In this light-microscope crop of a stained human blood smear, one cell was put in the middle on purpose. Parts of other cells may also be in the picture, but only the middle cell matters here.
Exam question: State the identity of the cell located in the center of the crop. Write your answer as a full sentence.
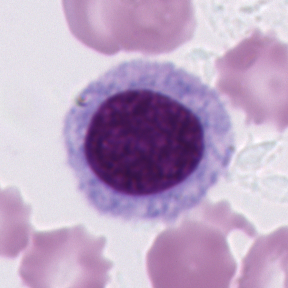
This crop is built around a hairy cell at its centre.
